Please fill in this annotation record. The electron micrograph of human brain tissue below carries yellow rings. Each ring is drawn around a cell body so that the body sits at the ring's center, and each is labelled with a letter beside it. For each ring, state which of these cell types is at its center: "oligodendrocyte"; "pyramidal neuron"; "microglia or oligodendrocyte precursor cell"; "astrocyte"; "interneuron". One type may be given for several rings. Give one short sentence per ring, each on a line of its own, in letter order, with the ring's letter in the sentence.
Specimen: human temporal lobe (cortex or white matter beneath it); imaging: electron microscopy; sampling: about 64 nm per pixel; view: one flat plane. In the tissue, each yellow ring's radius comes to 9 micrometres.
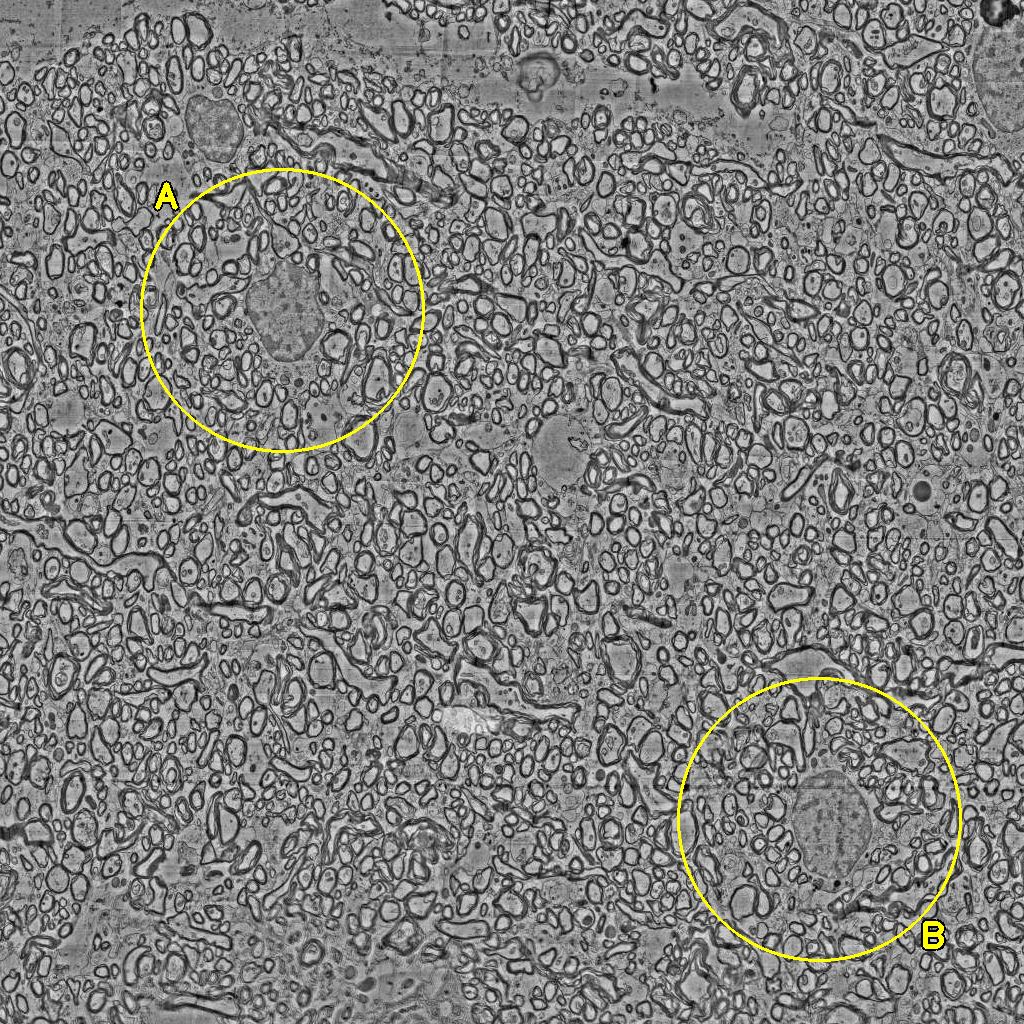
Ring A is drawn around an oligodendrocyte.
Ring B is drawn around an oligodendrocyte.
